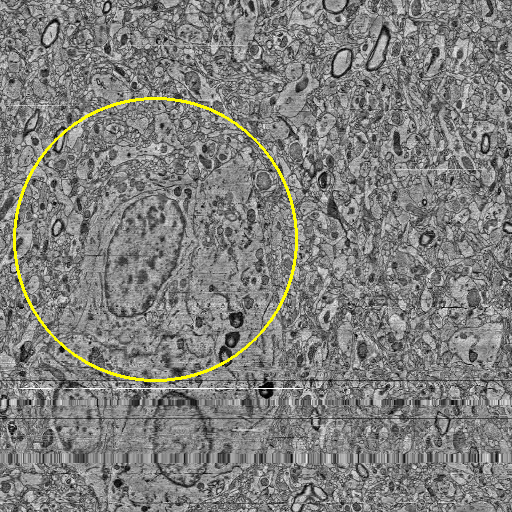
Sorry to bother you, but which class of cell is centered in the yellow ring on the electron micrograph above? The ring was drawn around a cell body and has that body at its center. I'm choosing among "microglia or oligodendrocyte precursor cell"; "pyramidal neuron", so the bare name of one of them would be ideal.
microglia or oligodendrocyte precursor cell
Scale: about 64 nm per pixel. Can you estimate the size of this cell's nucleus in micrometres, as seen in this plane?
In this plane the nucleus is clearly longer than it is wide, at approximately 8 by 4 micrometres.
